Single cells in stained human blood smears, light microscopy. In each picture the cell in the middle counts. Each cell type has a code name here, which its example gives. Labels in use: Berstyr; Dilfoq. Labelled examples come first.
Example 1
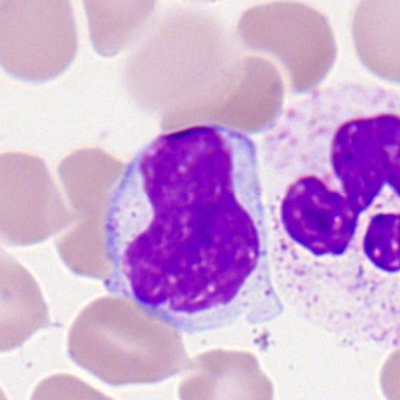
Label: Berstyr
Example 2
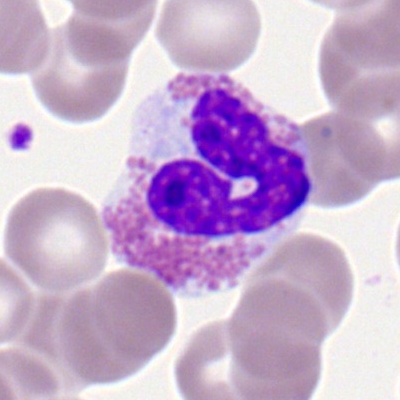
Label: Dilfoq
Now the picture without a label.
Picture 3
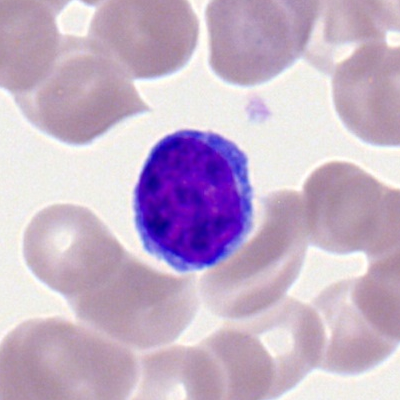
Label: Berstyr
